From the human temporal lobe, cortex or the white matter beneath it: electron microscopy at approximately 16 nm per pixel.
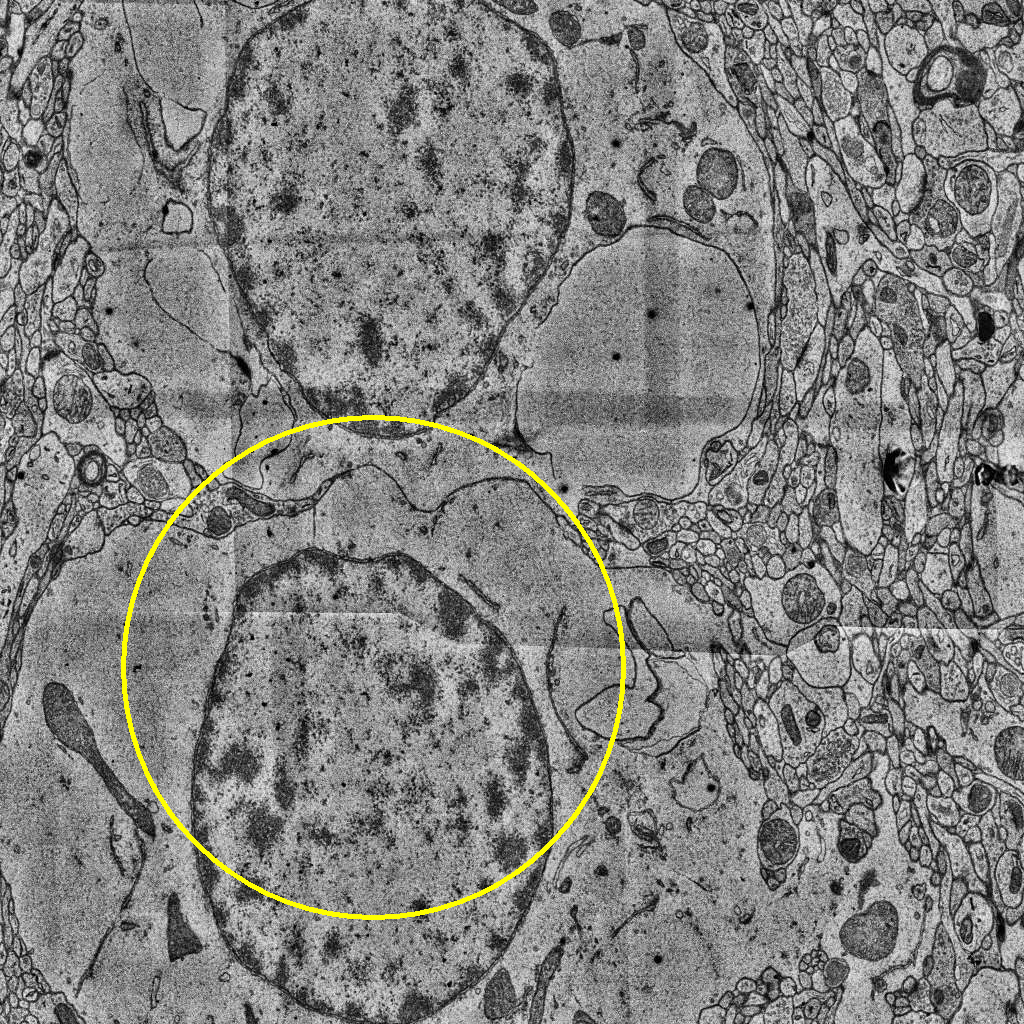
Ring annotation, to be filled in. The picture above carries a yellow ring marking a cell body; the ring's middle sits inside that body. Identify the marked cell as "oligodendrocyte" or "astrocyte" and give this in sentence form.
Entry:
The cell at the middle of the ring is an astrocyte.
